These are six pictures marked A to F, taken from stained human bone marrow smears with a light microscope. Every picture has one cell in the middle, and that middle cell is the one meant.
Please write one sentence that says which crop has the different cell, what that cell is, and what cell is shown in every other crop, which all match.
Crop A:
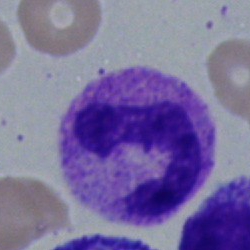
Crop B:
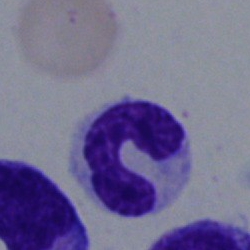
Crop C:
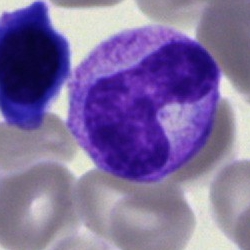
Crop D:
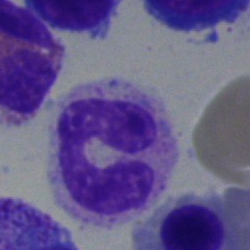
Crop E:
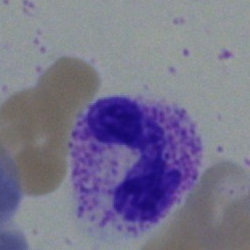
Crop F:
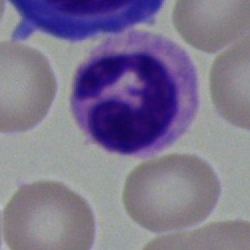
Seen in crop F is a segmented neutrophil, and seen in all other crops are band neutrophils.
